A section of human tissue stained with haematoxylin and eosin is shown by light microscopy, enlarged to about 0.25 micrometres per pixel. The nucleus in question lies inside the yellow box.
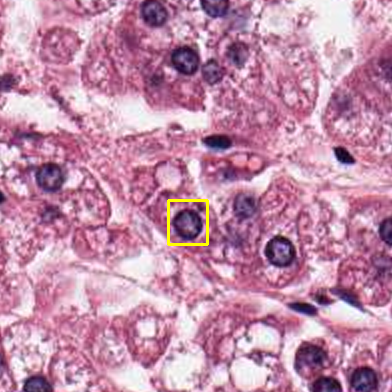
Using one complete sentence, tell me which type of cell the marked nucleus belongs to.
Indicated by the mark is a nucleus that belongs to an adrenal cortical cell.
